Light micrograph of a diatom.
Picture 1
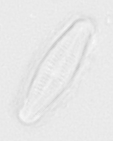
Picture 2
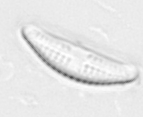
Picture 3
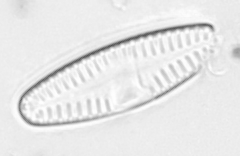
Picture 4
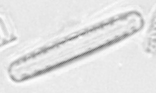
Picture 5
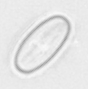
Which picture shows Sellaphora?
Picture 5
